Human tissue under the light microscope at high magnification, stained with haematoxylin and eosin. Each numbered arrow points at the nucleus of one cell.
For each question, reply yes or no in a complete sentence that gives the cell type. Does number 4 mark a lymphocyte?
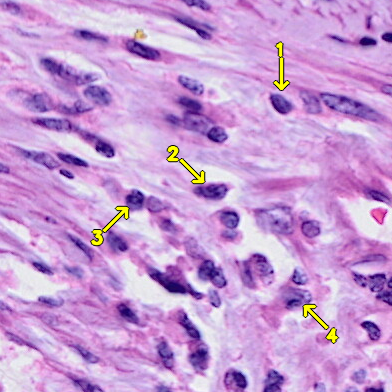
No, the marker 4 sits on a macrophage or monocyte, not on a lymphocyte.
